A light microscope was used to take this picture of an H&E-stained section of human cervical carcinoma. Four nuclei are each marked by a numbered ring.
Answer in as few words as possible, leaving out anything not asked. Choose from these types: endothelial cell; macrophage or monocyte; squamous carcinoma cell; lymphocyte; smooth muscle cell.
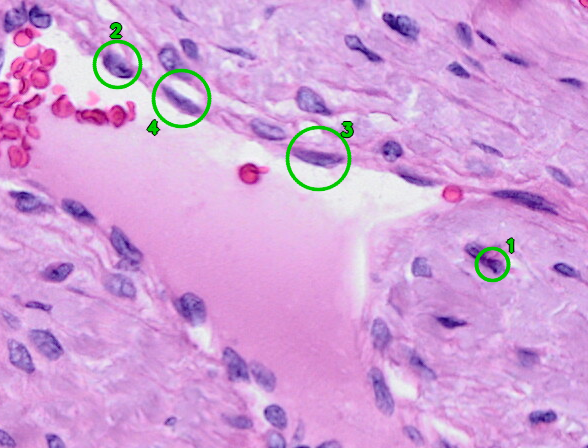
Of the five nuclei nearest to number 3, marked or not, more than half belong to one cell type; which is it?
smooth muscle cell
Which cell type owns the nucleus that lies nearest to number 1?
macrophage or monocyte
